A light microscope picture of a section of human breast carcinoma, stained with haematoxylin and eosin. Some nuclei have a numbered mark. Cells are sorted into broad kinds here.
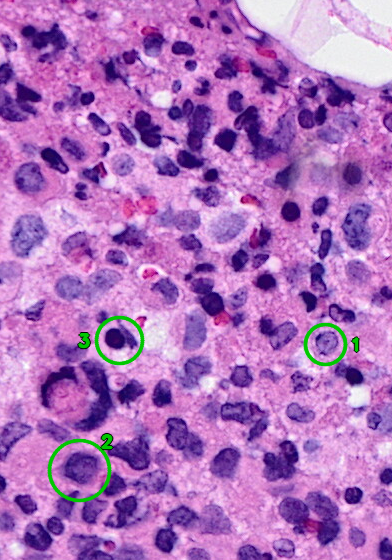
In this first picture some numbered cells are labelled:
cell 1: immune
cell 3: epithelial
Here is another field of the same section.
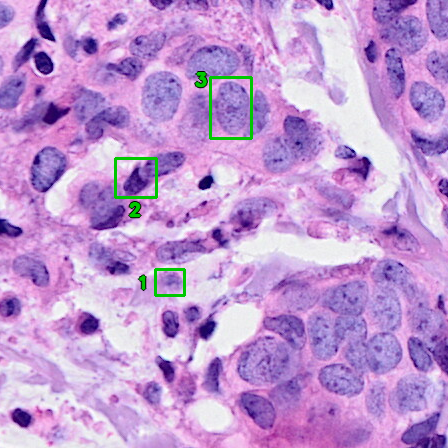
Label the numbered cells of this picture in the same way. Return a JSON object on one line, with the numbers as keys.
{"1": "immune", "2": "epithelial", "3": "epithelial"}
